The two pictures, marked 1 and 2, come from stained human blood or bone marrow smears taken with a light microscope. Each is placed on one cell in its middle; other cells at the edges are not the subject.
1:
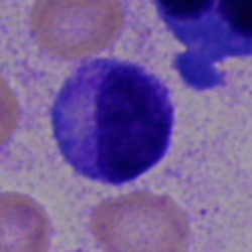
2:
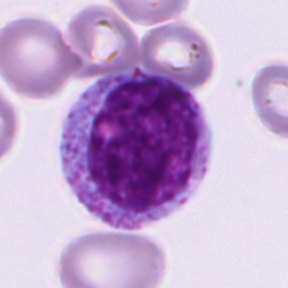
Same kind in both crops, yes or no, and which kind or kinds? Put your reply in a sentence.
Yes, the two crops share the same answer, myelocytes.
